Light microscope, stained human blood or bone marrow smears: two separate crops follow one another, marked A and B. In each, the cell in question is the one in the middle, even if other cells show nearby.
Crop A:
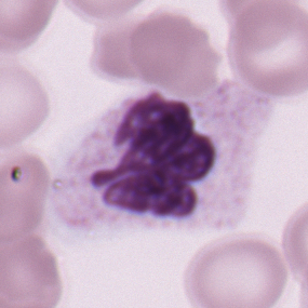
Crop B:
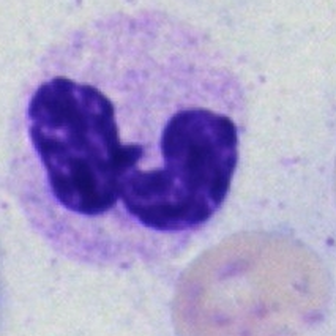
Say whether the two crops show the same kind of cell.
yes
